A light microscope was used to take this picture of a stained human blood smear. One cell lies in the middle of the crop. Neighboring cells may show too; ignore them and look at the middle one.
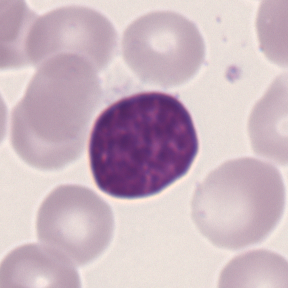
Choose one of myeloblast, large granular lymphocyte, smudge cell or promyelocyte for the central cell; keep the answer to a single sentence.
The crop centres on a single cell, and that cell is a smudge cell.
